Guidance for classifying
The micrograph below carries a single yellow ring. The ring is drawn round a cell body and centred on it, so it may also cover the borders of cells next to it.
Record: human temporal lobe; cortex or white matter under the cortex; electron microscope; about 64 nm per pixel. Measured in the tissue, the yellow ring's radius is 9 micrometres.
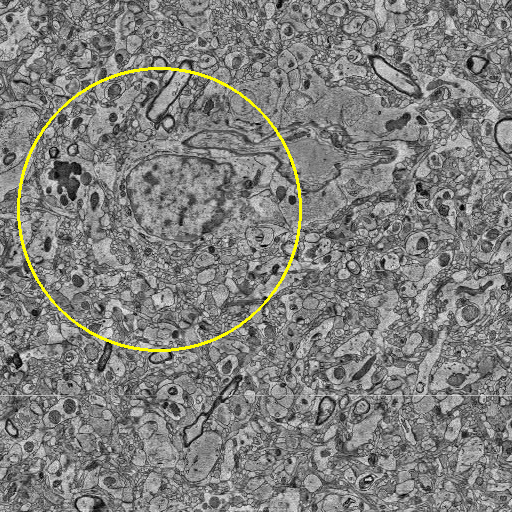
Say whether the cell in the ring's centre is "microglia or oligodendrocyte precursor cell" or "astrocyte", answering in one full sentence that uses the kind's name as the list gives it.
Within the yellow ring, a microglial cell or oligodendrocyte precursor cell is the cell whose body sits at the centre.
